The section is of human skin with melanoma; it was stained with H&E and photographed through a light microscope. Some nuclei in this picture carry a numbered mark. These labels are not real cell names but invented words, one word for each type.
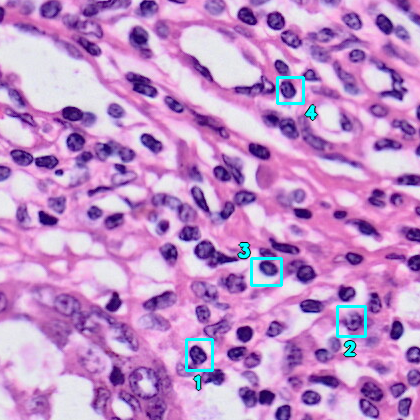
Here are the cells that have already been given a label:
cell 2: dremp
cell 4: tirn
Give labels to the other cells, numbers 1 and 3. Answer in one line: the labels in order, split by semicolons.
tirn; tirn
